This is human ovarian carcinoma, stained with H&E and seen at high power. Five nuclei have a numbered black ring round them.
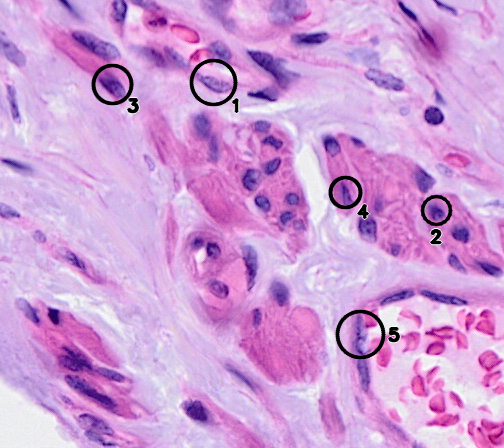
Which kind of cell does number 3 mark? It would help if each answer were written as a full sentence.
Cell 3 of the marked set is a smooth muscle cell.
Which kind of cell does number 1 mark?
The cell pointed out by number 1 is an endothelial cell.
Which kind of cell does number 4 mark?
Cell 4 should be recorded as a smooth muscle cell.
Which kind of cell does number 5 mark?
Regarding cell 5, this one is an endothelial cell.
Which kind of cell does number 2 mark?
The cell numbered 2 has been identified as a smooth muscle cell.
